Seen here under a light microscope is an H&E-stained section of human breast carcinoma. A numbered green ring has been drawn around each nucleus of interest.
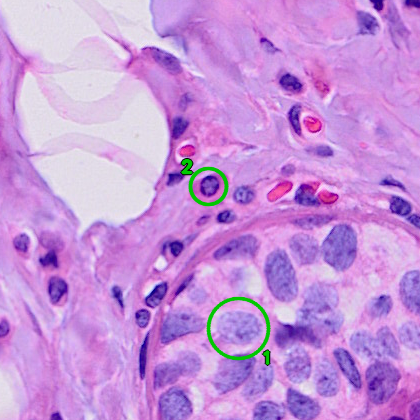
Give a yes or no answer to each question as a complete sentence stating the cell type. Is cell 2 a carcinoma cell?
No, the cell under number 2 is a mast cell, not a carcinoma cell.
